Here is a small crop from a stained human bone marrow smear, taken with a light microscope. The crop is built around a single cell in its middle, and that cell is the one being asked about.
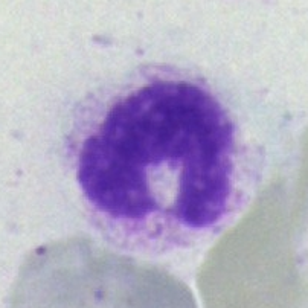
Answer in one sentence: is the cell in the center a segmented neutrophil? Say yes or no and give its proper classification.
Yes, the cell in the center of this crop is a segmented neutrophil.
